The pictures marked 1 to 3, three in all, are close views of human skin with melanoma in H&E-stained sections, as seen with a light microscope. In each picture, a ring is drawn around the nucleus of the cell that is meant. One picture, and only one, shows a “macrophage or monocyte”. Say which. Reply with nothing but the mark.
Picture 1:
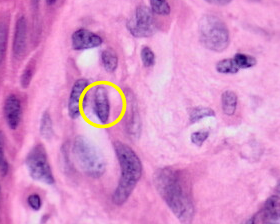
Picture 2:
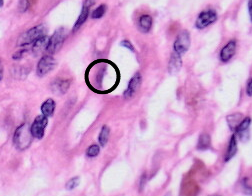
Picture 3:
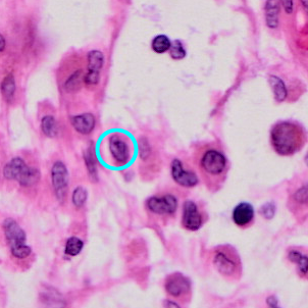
3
